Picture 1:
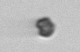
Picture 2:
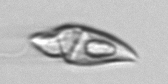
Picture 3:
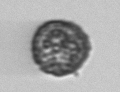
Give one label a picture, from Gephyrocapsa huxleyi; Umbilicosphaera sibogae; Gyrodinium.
1: Gephyrocapsa huxleyi
2: Gyrodinium
3: Umbilicosphaera sibogae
